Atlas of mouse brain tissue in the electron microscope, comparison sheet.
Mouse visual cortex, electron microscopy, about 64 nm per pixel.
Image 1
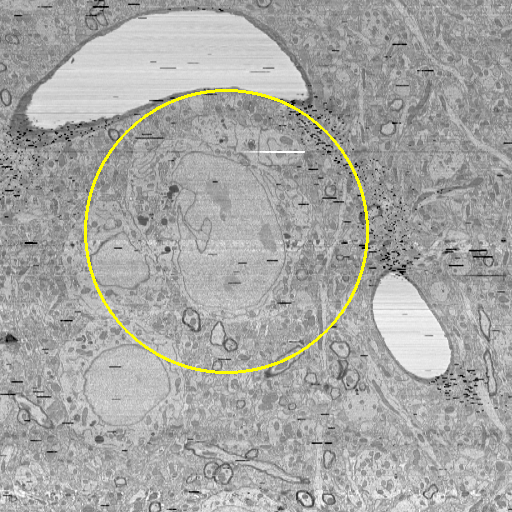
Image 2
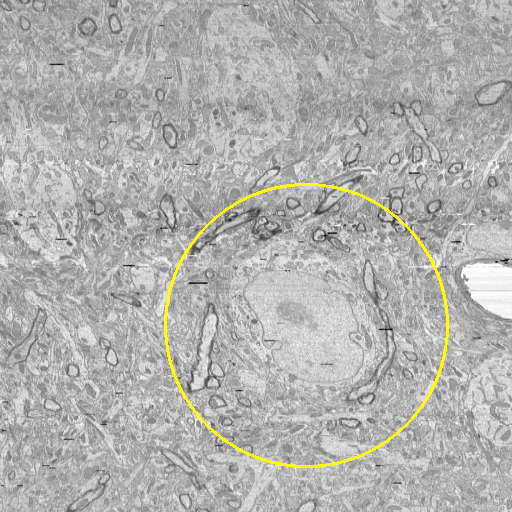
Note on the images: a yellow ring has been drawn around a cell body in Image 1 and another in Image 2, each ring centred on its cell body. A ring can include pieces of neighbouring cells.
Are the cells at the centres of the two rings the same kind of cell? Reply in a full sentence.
Yes, both cells are of the same kind.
